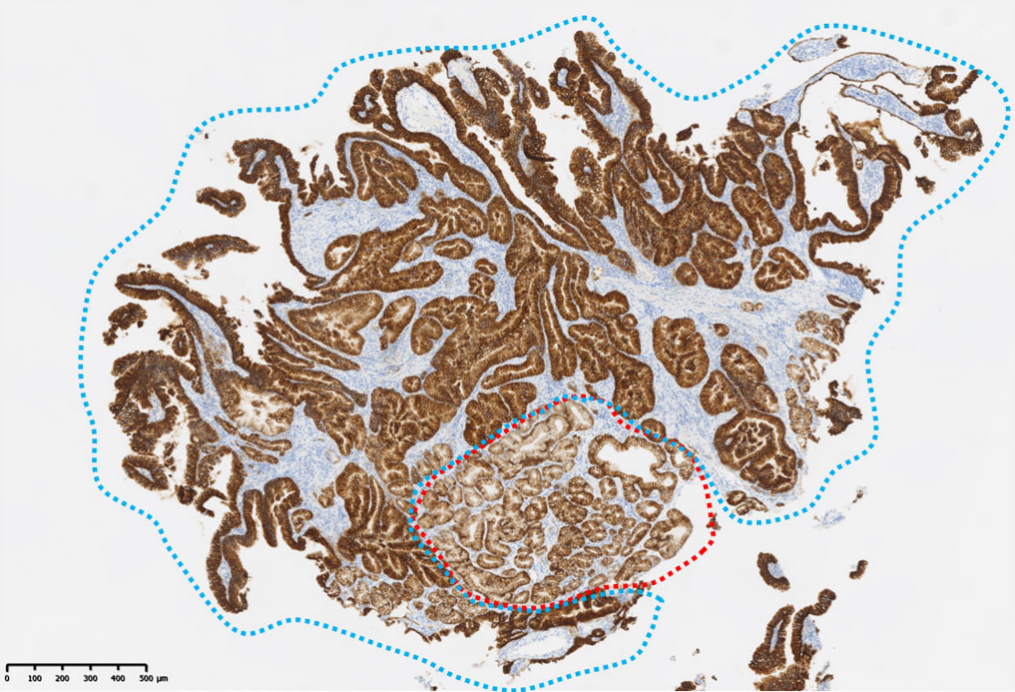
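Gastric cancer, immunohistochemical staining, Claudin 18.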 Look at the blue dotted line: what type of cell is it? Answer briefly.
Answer: Tumor cells.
